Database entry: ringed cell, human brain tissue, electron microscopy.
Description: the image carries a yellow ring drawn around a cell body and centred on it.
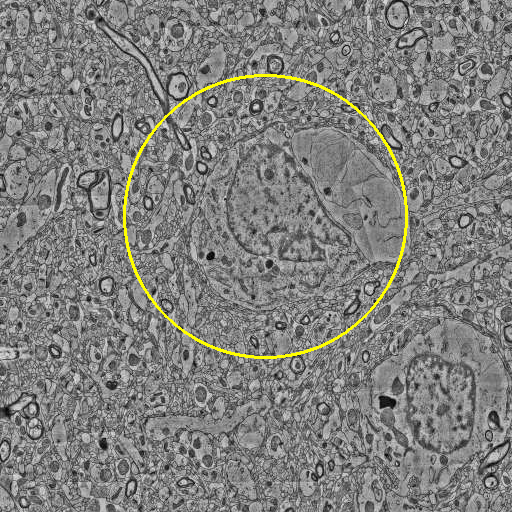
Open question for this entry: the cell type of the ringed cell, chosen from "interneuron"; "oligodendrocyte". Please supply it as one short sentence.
The ringed cell is an interneuron.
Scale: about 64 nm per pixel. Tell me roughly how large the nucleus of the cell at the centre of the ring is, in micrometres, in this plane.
The nucleus works out at approximately 8 by 6 micrometres in this plane.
